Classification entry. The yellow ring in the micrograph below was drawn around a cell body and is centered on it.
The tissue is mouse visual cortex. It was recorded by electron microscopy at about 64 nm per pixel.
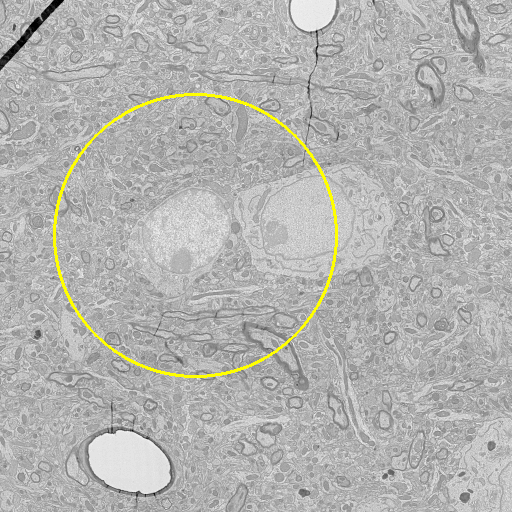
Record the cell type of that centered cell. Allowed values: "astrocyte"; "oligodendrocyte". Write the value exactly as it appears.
oligodendrocyte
